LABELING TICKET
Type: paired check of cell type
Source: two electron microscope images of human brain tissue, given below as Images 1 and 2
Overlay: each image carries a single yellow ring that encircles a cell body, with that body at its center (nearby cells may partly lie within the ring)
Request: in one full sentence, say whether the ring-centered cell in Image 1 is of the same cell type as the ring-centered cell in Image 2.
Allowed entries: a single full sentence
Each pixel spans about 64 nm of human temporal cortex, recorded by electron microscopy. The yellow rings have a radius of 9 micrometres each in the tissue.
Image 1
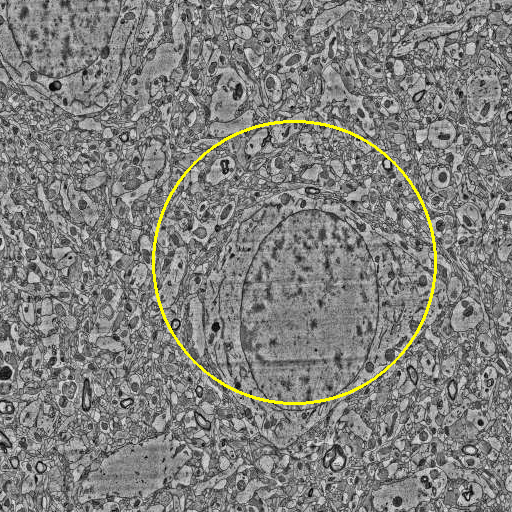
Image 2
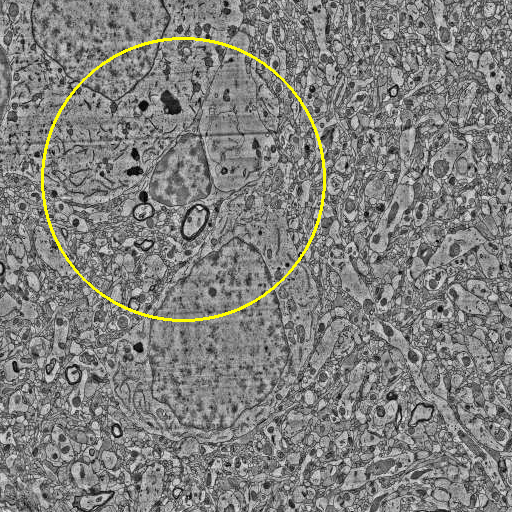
No, the cells centered in the rings of Image 1 and Image 2 are of two types.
